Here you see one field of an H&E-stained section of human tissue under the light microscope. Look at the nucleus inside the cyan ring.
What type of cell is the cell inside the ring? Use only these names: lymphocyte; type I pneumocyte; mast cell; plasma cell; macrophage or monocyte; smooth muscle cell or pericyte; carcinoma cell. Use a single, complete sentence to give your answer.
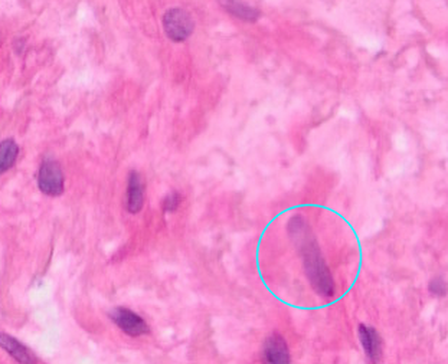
As to its cell type, the cell inside the ring is a smooth muscle cell or pericyte.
